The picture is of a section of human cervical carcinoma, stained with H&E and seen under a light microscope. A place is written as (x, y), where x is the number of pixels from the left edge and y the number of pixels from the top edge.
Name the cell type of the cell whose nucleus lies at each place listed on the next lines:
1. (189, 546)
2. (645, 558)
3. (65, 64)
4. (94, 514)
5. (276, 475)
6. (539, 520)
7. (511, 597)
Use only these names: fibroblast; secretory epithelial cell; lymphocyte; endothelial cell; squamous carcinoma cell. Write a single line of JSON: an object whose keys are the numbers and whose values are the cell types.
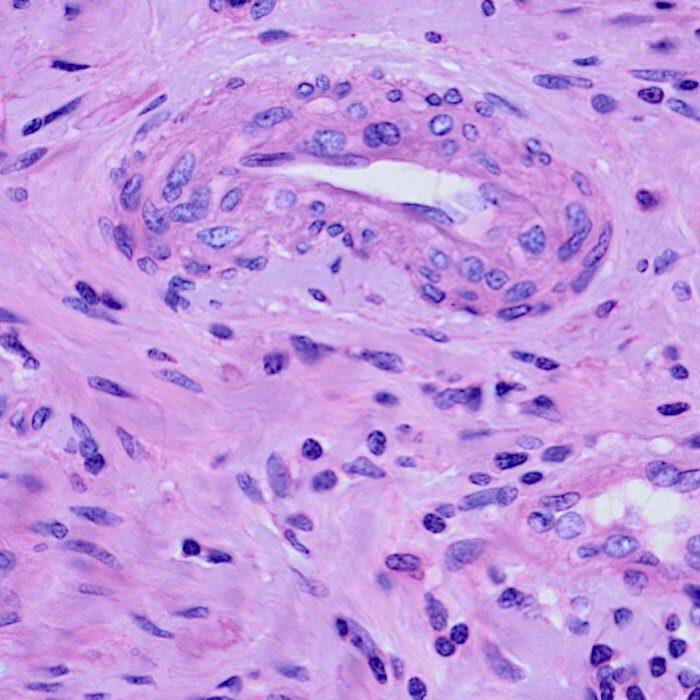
{"1": "lymphocyte", "2": "endothelial cell", "3": "fibroblast", "4": "fibroblast", "5": "fibroblast", "6": "endothelial cell", "7": "lymphocyte"}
